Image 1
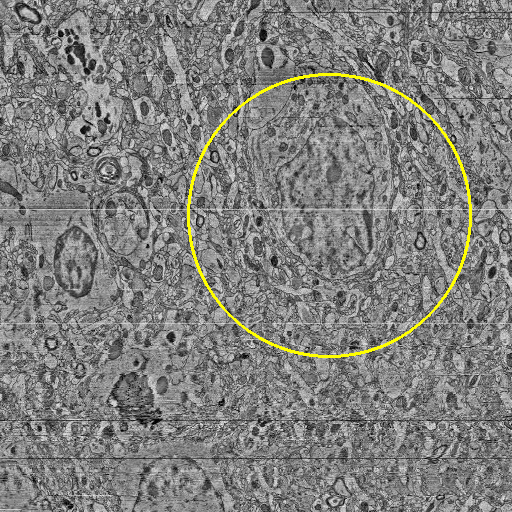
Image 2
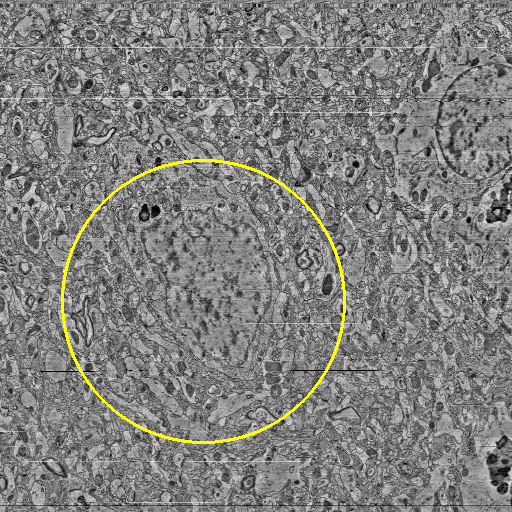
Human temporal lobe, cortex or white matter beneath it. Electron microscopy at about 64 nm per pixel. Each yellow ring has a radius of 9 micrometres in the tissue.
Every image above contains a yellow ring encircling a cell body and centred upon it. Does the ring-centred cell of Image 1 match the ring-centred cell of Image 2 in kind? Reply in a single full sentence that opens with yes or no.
Yes, the cell at the ring's centre in Image 1 is the same kind as that in Image 2.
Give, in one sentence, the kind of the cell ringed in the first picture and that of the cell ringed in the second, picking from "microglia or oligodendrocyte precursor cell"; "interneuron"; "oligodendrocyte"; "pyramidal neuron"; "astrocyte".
The ring centre holds an interneuron in each of the two pictures.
